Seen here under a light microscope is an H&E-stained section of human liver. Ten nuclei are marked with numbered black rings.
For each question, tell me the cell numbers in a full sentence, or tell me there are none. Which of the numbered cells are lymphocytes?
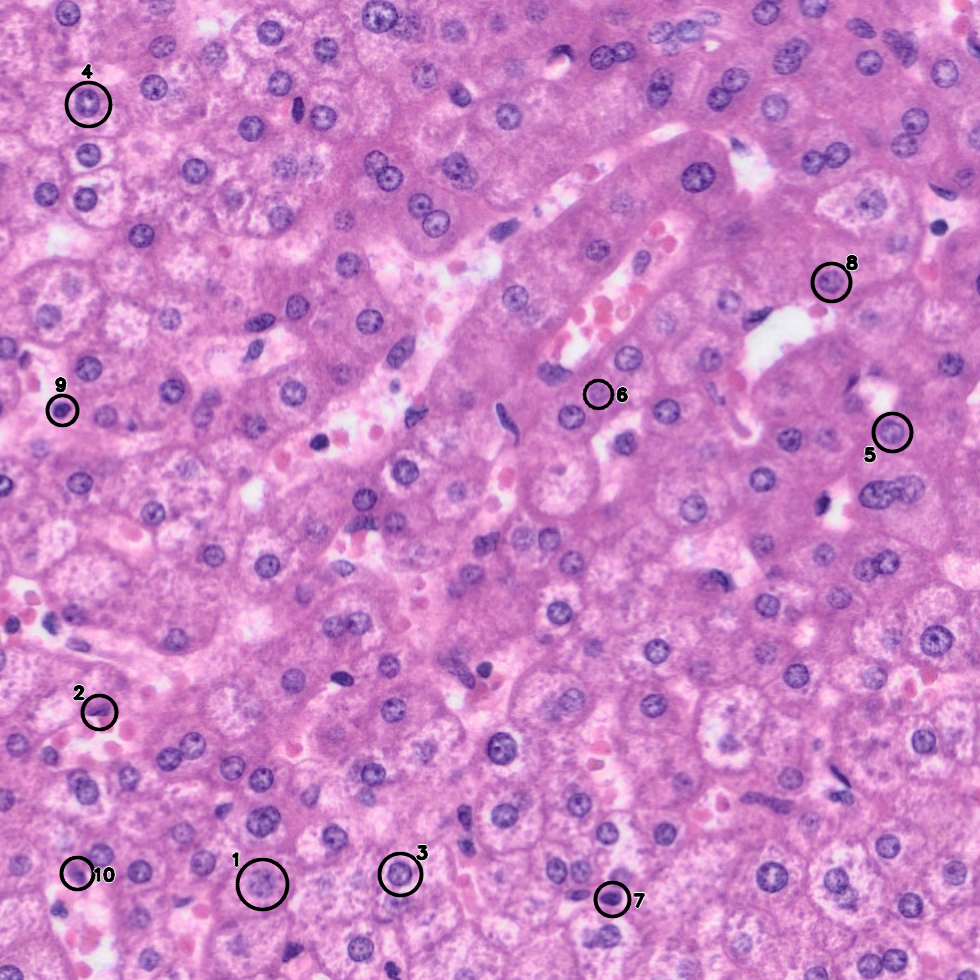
The numbers 7 and 9 mark cells that are lymphocytes.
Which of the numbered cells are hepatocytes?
The cells assigned the numbers 1, 3, 4, 5, 6 and 8 are hepatocytes.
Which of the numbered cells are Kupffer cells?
The cell marked by number 10 is a Kupffer cell; the other marked cells are not.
